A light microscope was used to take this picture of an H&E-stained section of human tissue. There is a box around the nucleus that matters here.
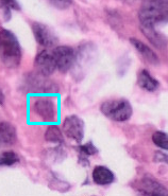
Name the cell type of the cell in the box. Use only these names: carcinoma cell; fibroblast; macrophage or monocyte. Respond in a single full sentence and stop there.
The classification of the cell in the box is as a carcinoma cell.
